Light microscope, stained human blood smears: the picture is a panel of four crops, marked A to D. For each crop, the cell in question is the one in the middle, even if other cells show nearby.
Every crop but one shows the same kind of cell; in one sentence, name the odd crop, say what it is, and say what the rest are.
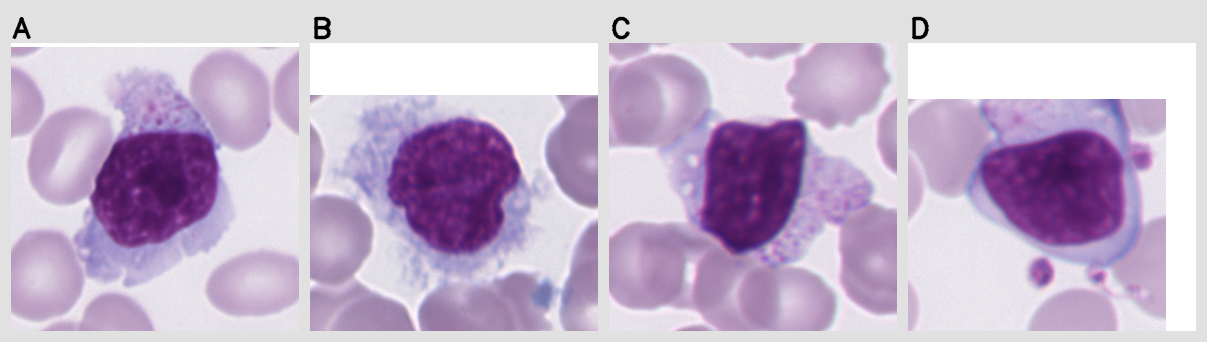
Crop B is a hairy cell, the one exception to the large granular lymphocytes of the other crops.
